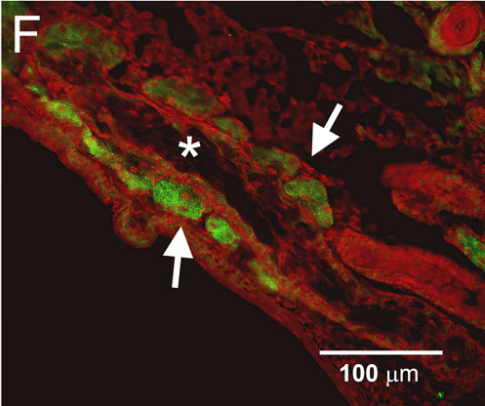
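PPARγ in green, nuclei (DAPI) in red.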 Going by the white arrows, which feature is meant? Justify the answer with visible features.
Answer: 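Acini. The arrows point to rounded clusters of cells filled with green staining. These clusters sit alongside an elongated duct-like channel.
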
